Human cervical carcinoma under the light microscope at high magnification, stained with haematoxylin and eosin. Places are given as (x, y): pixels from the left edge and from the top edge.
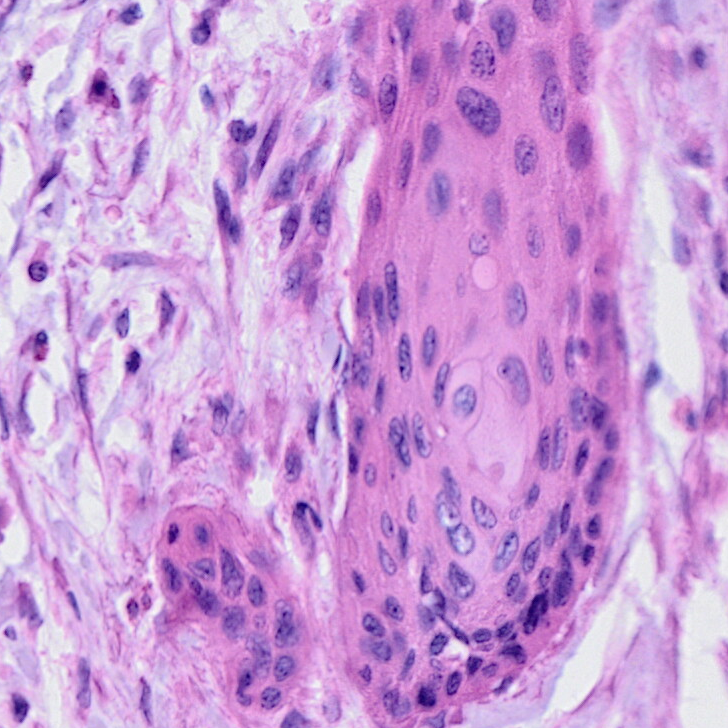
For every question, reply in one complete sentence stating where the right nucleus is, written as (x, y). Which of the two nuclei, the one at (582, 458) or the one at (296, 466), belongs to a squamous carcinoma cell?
The pair contains one nucleus of a squamous carcinoma cell, namely the one at (582, 458).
